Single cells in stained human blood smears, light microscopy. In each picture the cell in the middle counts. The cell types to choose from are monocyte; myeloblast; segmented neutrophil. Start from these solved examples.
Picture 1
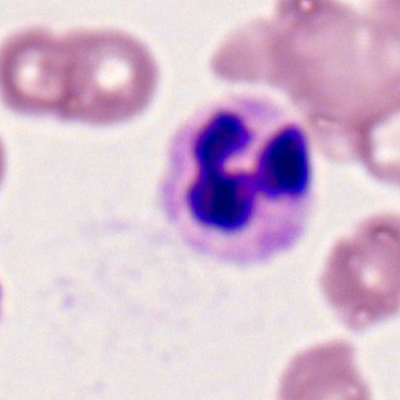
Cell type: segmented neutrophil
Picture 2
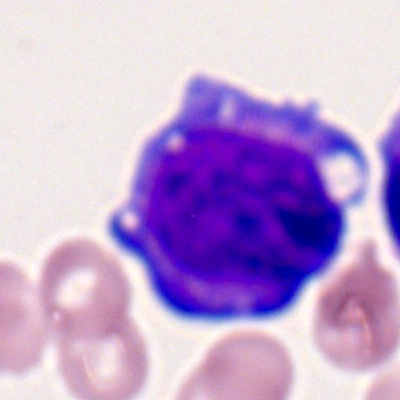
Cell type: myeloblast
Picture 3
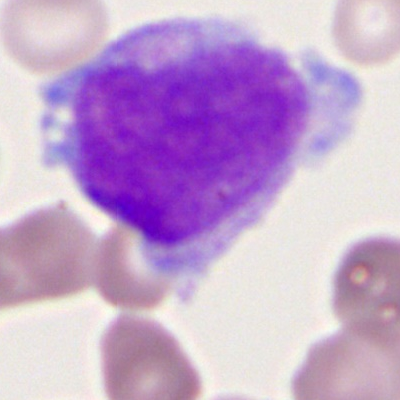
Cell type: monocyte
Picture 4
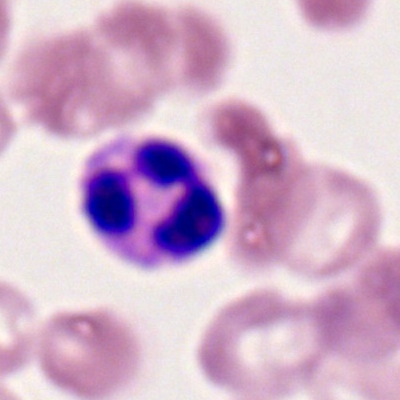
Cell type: segmented neutrophil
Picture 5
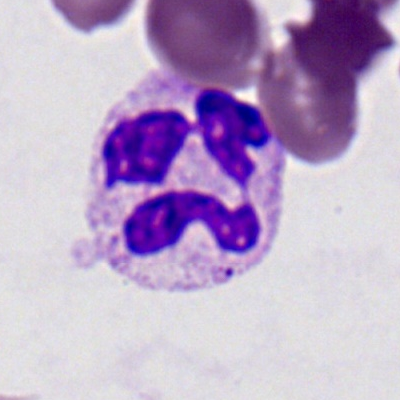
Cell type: segmented neutrophil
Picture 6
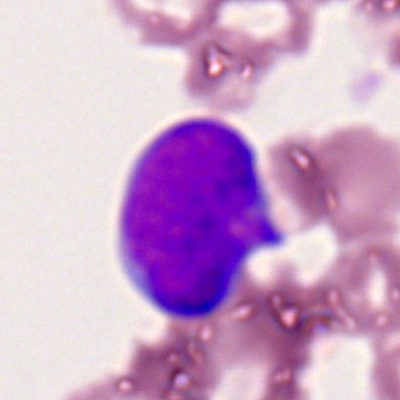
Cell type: myeloblast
